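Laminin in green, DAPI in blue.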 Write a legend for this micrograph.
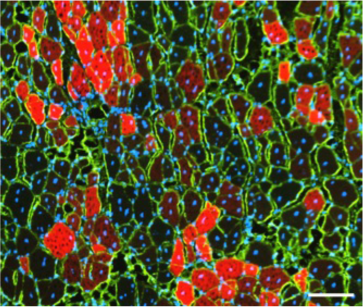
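Numerous fibers, often in clusters, are filled with red cytoplasm, while the rest appear dark inside. The red fibers vary somewhat in size and are scattered across much of the field, mixed with unlabelled fibers.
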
